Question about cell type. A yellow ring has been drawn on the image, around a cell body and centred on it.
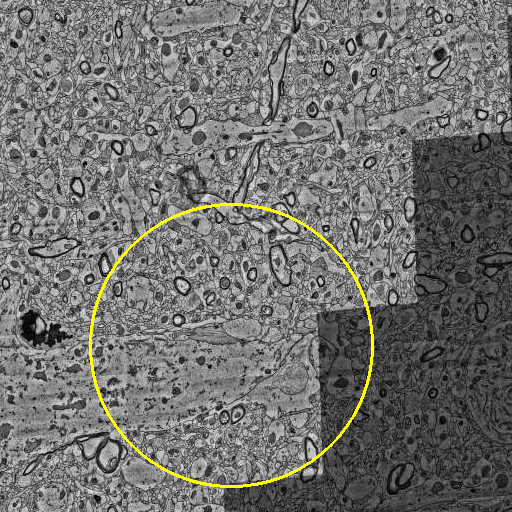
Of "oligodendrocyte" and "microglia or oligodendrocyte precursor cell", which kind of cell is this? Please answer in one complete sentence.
At the centre of the ring lies an oligodendrocyte.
